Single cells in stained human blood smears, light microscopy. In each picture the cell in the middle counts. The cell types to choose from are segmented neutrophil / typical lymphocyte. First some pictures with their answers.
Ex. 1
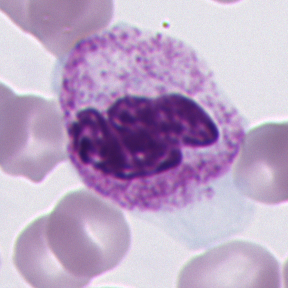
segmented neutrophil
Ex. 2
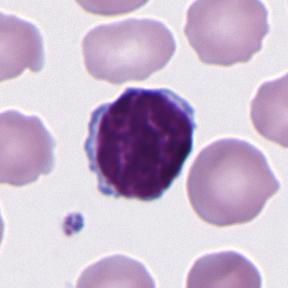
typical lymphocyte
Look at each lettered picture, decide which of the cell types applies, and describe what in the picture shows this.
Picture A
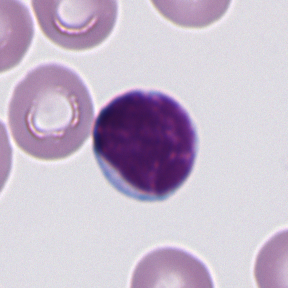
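typical lymphocyte. Evidence: The cytoplasm is a scant pale blue crescent, widest at the lower left of the cell.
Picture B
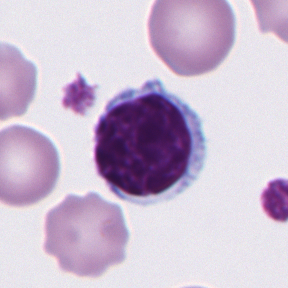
typical lymphocyte. Evidence: The cytoplasm forms only a narrow rim around the nucleus.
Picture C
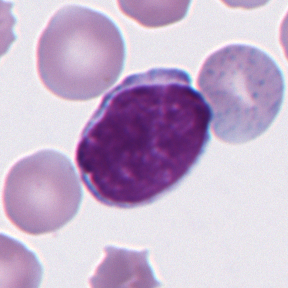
typical lymphocyte. Evidence: The cytoplasm is scant and forms only a thin rim around the nucleus.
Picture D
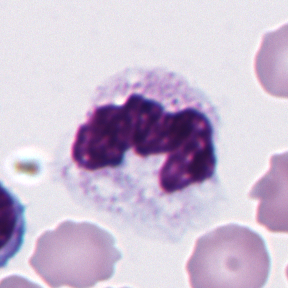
segmented neutrophil. Evidence: The cytoplasm is plentiful and very pale.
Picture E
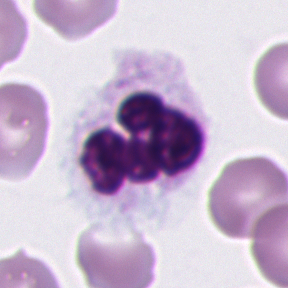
segmented neutrophil. Evidence: A wide rim of very pale lilac cytoplasm surrounds the nucleus.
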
